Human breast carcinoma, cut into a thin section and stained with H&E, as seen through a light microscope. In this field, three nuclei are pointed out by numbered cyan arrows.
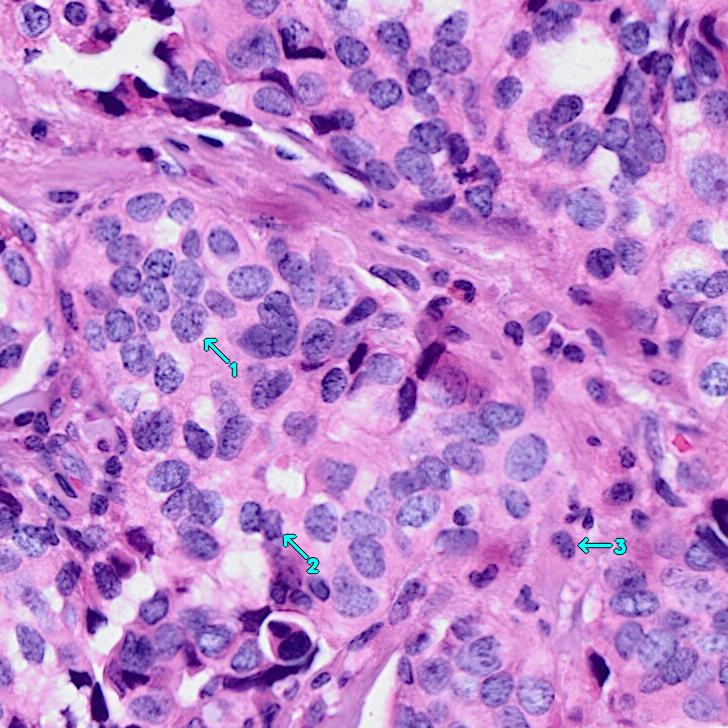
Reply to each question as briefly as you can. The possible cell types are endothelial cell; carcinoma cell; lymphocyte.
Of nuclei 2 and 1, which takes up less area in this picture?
2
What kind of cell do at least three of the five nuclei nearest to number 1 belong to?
carcinoma cell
